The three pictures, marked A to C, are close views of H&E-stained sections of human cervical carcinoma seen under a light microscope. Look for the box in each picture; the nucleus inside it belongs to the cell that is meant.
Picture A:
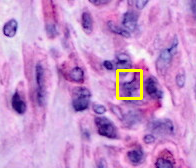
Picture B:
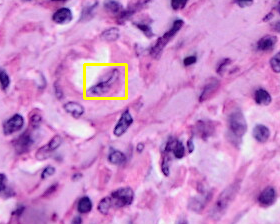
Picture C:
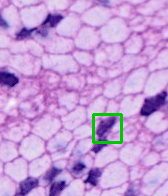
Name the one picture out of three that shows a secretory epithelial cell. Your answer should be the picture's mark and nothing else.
C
